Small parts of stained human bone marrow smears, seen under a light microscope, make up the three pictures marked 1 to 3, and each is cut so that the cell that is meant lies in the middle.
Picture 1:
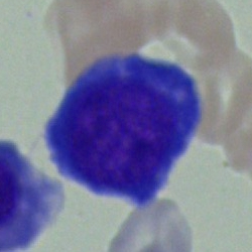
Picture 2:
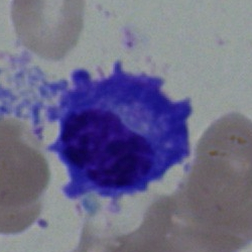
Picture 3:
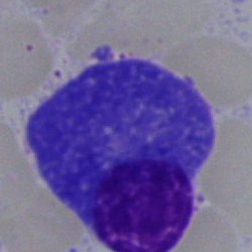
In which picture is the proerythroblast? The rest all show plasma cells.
1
